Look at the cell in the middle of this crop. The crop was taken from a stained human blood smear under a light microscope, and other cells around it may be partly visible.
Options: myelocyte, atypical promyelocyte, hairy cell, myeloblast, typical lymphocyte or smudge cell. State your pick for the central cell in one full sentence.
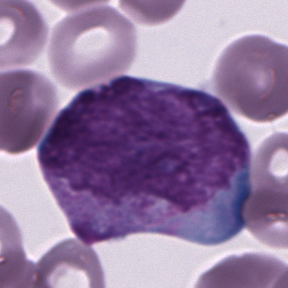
The crop centres on a single cell, and that cell is an atypical promyelocyte.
